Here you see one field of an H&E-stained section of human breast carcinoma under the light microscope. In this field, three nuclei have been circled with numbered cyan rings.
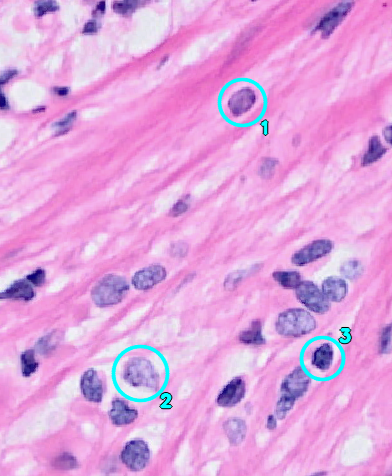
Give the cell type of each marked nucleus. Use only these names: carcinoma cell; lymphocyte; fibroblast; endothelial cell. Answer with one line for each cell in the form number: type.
1: lymphocyte
2: carcinoma cell
3: lymphocyte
